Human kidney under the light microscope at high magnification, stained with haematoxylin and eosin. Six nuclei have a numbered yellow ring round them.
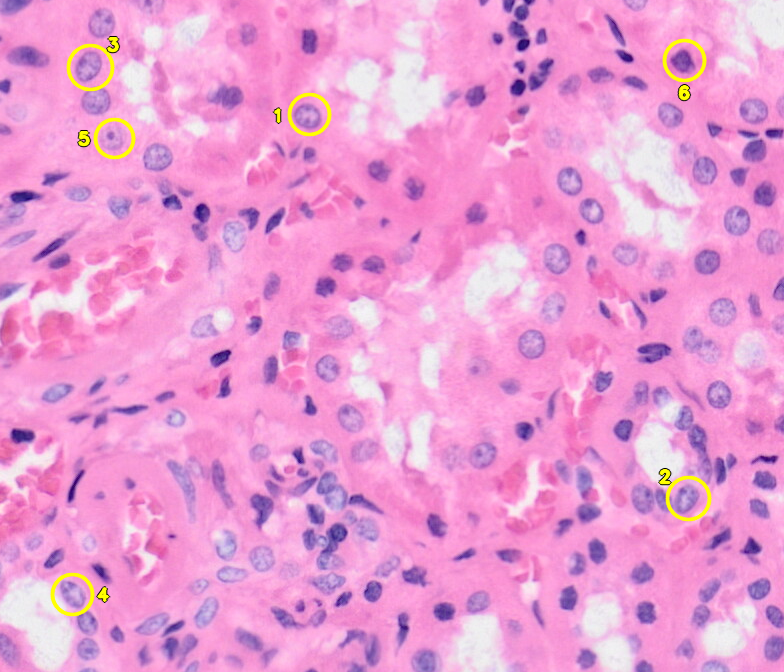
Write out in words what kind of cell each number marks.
Cells 1, 3, 5 and 6 are proximal tubule cells. Cells 2 and 4 are collecting duct cells.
